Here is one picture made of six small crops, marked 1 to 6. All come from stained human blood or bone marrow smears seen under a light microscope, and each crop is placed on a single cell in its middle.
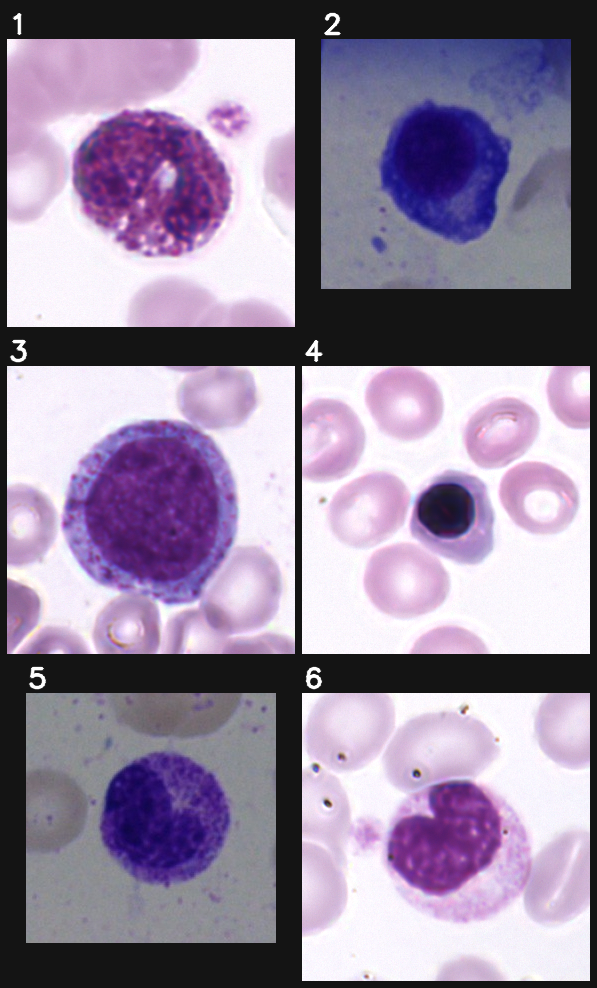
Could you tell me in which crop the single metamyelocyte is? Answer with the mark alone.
5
